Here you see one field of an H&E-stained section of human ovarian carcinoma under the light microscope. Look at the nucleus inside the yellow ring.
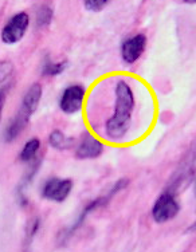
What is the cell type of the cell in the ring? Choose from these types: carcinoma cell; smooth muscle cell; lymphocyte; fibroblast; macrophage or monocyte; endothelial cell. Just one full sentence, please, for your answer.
As a matter of cell type, the cell in the ring is a macrophage or monocyte.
